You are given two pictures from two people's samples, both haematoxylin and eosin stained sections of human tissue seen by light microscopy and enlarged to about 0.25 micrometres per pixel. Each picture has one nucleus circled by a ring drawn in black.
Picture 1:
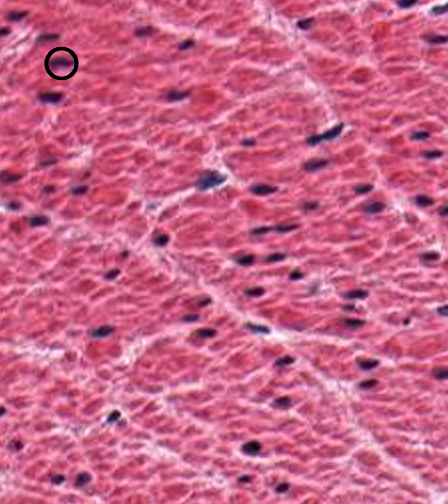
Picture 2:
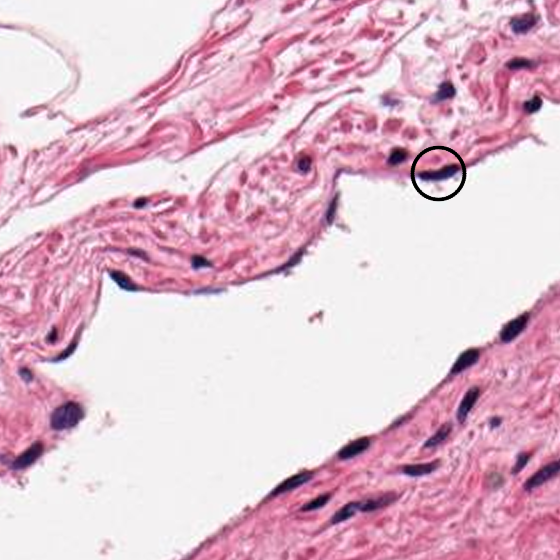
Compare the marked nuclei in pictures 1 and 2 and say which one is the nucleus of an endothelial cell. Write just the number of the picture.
2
